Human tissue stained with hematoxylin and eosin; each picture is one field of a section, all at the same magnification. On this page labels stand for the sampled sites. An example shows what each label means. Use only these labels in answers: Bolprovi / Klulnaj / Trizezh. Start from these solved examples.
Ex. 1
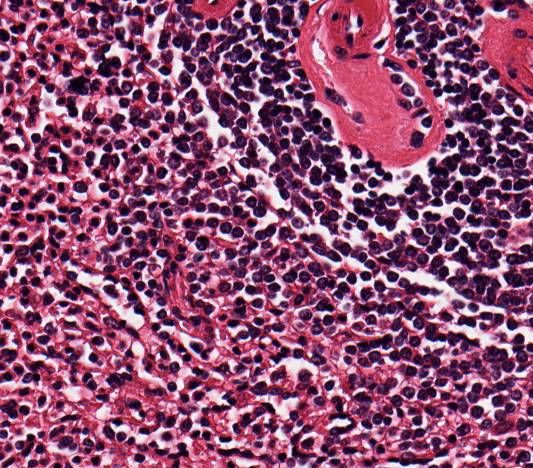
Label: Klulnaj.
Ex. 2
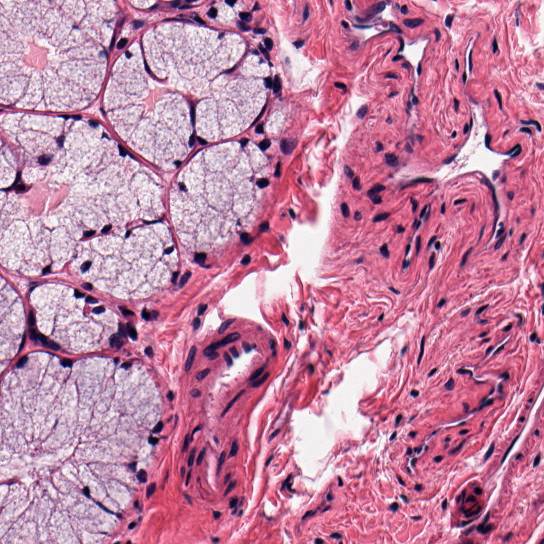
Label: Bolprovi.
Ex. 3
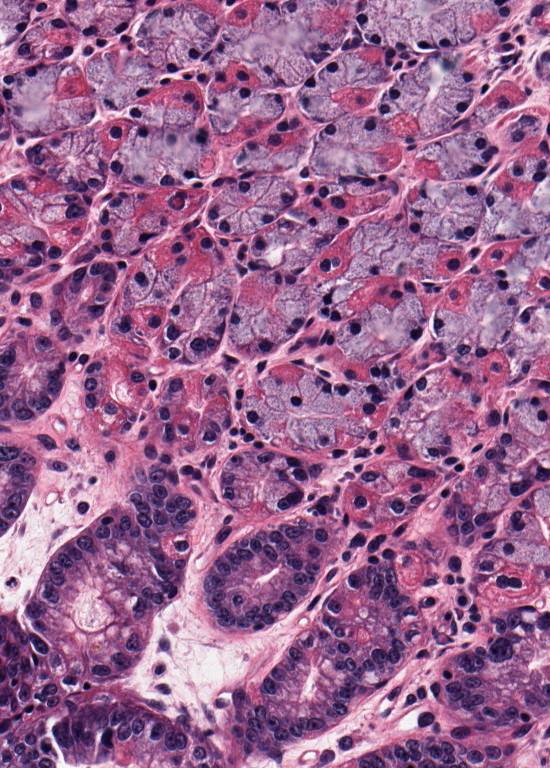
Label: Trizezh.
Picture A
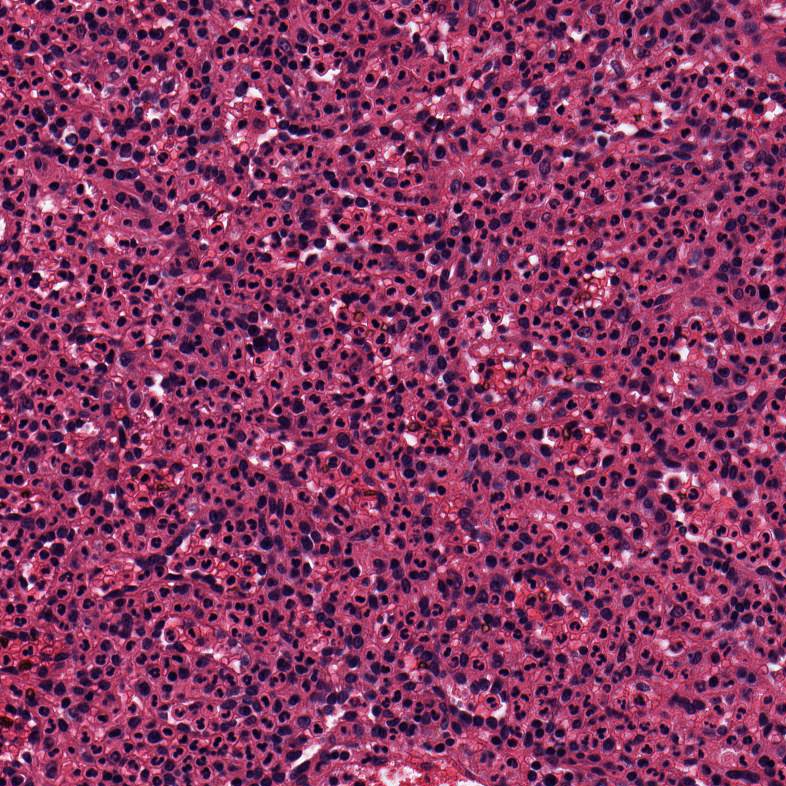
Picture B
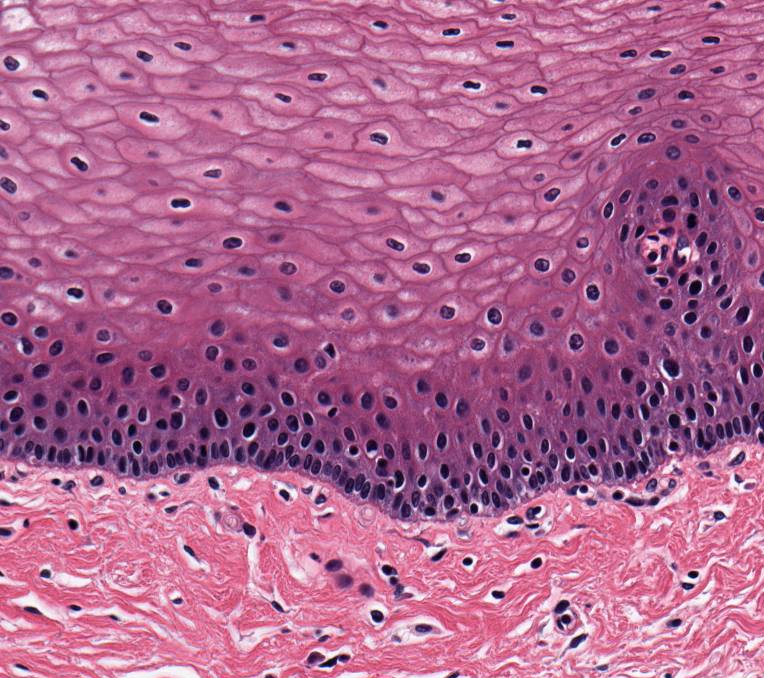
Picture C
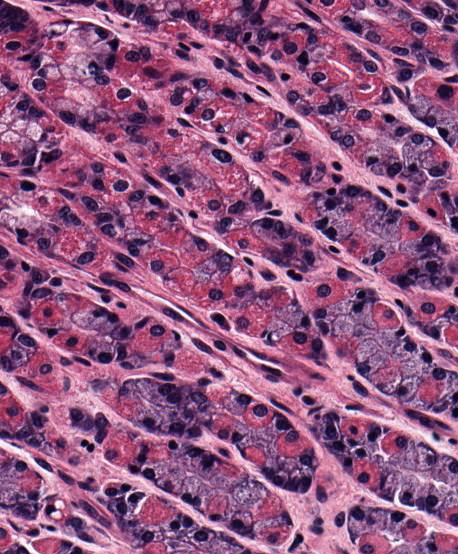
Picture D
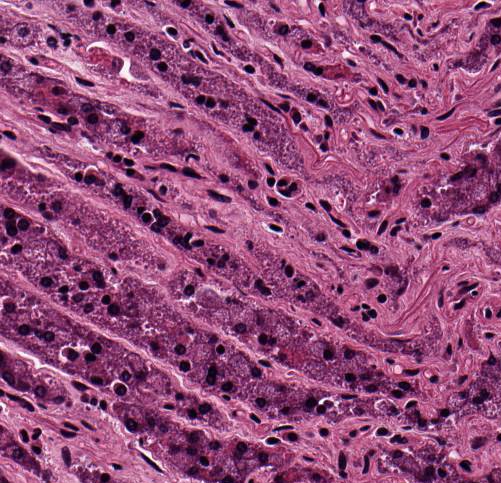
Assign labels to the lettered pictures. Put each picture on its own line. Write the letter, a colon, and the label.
A: Klulnaj.
B: Bolprovi.
C: Trizezh.
D: Trizezh.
